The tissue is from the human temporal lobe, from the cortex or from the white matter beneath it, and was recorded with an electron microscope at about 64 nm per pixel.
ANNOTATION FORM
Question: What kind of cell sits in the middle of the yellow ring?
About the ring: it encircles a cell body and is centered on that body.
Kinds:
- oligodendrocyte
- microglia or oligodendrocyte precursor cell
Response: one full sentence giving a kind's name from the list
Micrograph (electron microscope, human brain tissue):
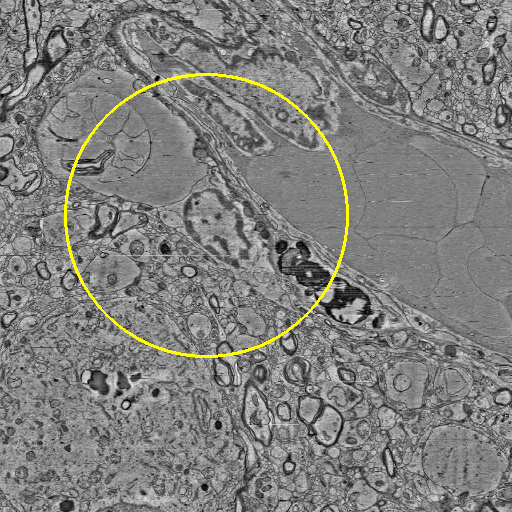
The kind of cell found at the center of the yellow ring in the micrograph is a microglial cell or oligodendrocyte precursor cell.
